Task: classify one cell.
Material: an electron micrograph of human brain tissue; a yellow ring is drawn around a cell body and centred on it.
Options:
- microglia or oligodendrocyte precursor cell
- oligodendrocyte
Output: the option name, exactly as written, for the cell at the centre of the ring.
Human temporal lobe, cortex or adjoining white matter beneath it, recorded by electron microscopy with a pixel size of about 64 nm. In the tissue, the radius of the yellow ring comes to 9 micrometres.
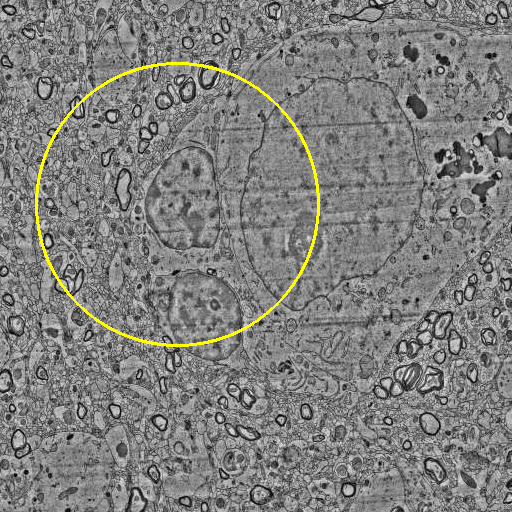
microglia or oligodendrocyte precursor cell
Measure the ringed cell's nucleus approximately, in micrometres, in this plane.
Approximately 7 micrometres long and 5 micrometres wide, in this plane.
